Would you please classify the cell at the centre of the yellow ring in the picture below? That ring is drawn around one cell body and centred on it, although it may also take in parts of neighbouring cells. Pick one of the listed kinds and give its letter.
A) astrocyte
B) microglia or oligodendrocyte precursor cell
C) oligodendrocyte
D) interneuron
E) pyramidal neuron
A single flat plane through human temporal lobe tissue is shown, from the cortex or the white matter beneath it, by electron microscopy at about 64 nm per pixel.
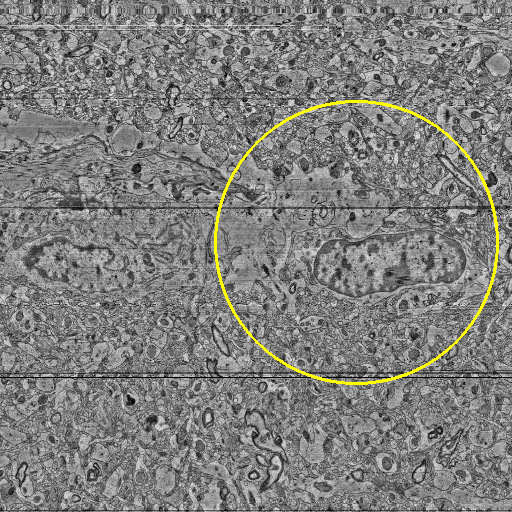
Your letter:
B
